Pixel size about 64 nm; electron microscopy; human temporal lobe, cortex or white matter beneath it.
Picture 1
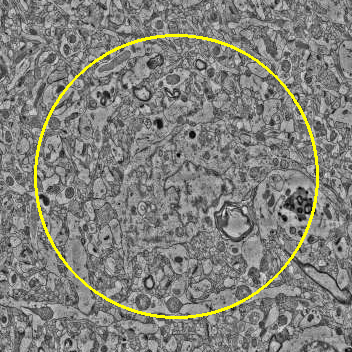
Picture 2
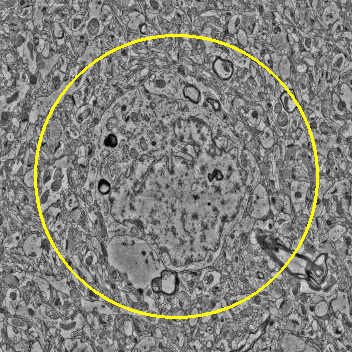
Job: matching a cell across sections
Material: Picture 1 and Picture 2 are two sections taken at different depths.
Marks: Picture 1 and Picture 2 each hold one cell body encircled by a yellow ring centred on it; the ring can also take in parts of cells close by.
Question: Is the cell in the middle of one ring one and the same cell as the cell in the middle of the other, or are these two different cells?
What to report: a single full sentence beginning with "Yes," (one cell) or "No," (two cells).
Yes, the same individual cell is enclosed by both rings.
